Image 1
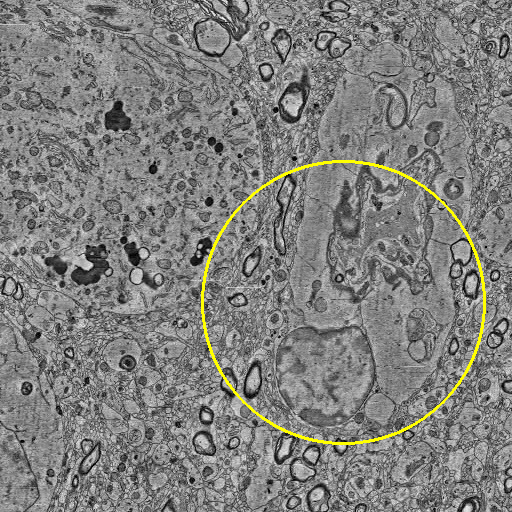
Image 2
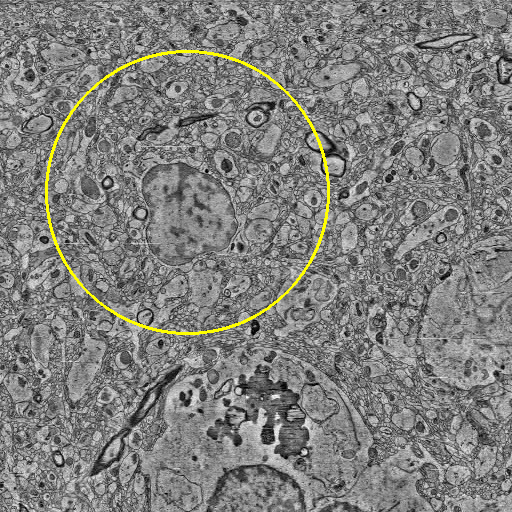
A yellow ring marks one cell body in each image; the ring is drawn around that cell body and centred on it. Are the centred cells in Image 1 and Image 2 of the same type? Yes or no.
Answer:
yes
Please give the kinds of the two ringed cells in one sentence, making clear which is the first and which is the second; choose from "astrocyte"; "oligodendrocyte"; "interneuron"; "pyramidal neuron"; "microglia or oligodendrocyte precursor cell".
The ring centre holds a microglial cell or oligodendrocyte precursor cell in each of the two pictures.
